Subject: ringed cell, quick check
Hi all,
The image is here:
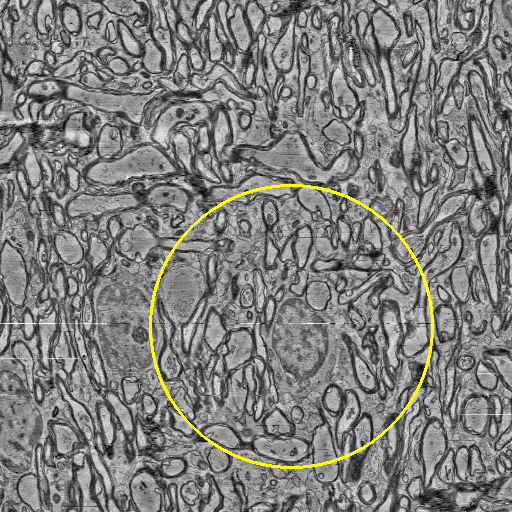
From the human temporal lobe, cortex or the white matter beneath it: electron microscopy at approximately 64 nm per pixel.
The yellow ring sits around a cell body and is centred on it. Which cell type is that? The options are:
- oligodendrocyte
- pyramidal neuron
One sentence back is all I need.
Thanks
That ringed cell is an oligodendrocyte.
